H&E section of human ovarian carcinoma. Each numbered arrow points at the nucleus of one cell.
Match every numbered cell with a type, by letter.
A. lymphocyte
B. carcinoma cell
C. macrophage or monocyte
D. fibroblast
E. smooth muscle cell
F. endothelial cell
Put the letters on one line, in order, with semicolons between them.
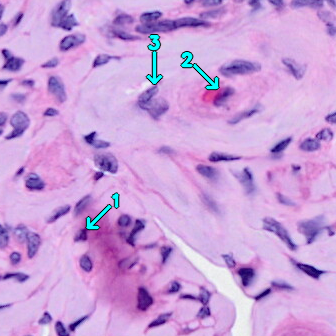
E; F; D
